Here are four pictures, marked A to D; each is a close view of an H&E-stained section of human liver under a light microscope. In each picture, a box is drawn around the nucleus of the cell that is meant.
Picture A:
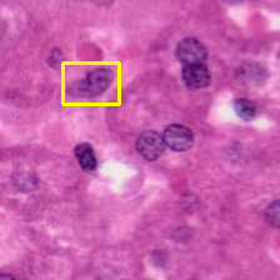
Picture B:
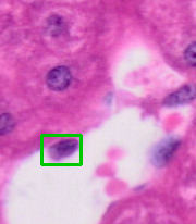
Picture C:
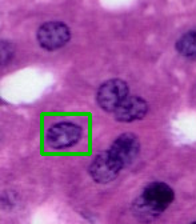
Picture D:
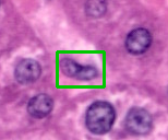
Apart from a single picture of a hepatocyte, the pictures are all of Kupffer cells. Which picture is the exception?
C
